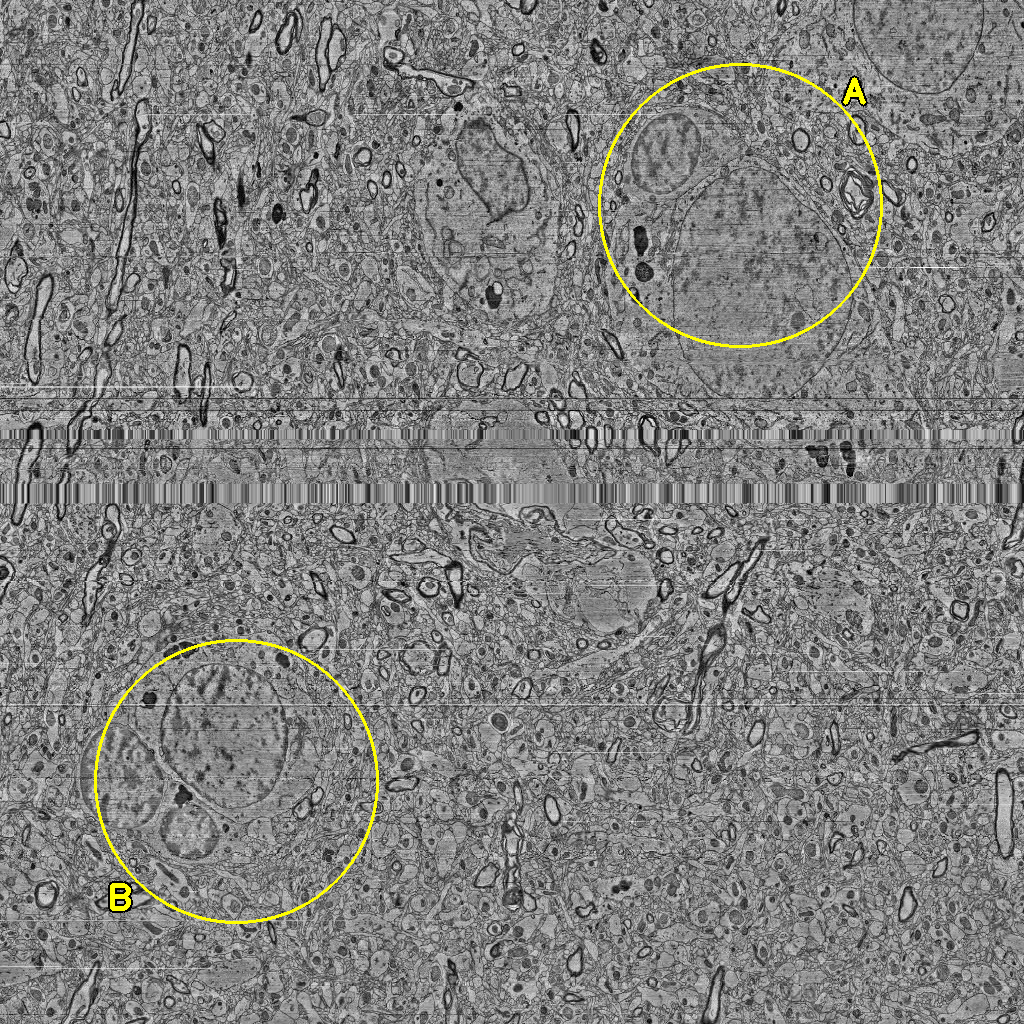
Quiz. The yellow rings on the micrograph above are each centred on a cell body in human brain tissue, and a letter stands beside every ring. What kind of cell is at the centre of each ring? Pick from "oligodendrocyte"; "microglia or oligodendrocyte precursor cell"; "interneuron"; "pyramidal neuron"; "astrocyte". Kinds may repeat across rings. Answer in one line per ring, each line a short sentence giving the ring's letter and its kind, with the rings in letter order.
The ring labelled A has a pyramidal neuron at its centre.
The ring labelled B has an interneuron at its centre.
